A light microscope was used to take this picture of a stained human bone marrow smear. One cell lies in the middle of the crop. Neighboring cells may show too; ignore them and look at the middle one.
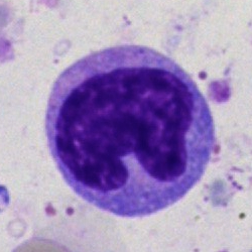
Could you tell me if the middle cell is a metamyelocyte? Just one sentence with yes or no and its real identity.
No, instead of being a metamyelocyte, the middle cell is a monocyte.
